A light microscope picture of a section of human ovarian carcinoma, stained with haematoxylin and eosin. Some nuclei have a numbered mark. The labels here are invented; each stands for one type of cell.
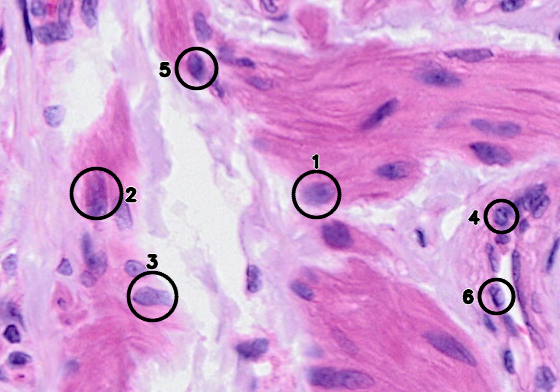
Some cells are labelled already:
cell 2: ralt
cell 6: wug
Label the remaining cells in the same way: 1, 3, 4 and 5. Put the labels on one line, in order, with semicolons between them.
ralt; ralt; wug; ralt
